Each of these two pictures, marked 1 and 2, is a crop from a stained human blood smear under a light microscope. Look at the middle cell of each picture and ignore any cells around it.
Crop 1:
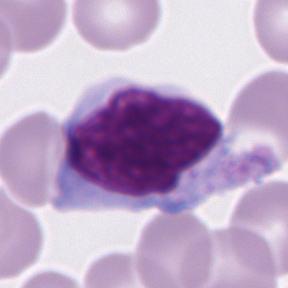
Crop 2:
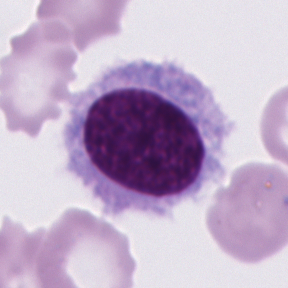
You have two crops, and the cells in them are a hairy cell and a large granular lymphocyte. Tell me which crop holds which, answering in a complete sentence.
Crop 1 corresponds to a large granular lymphocyte, and crop 2 corresponds to a hairy cell.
